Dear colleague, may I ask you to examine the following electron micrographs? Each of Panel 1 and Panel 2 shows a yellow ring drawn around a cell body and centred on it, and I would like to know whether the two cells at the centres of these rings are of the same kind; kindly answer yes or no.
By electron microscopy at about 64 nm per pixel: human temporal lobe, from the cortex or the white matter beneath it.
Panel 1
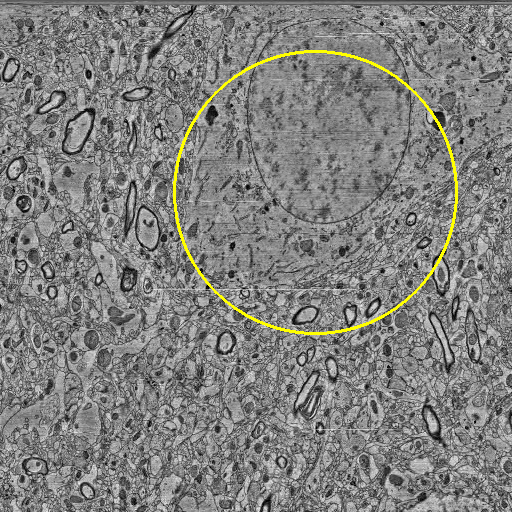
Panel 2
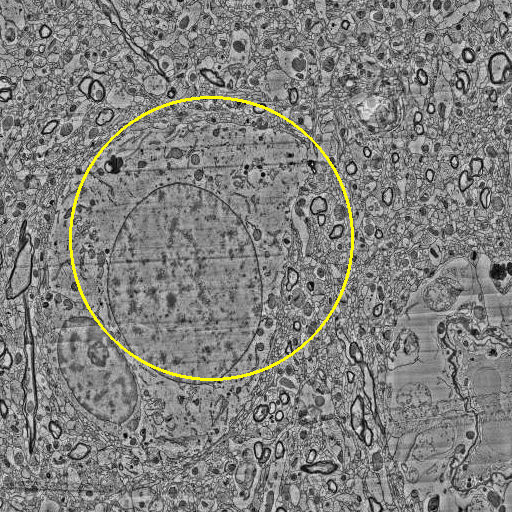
yes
